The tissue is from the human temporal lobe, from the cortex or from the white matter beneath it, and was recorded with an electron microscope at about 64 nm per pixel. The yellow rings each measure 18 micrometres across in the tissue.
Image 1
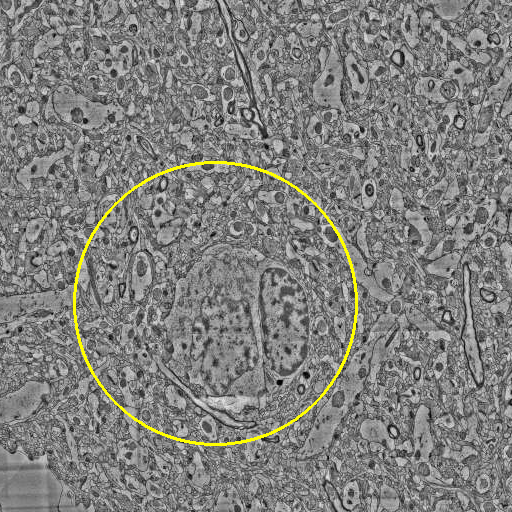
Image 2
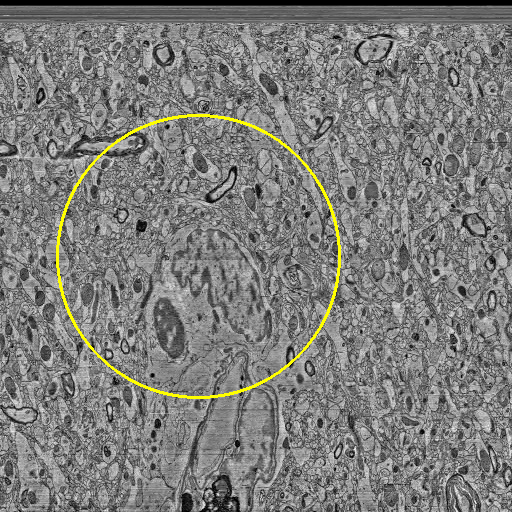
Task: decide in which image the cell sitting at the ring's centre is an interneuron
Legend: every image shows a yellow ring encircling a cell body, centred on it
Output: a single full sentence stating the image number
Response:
In image 1, the cell at the middle of the ring is the match.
